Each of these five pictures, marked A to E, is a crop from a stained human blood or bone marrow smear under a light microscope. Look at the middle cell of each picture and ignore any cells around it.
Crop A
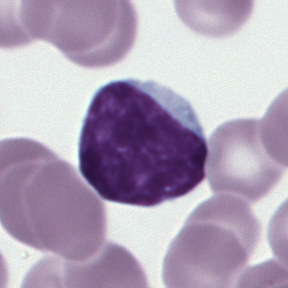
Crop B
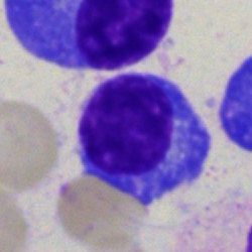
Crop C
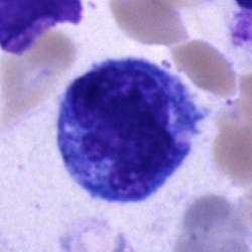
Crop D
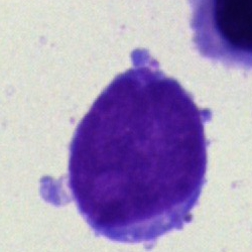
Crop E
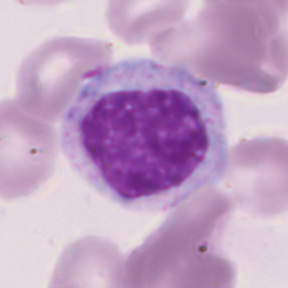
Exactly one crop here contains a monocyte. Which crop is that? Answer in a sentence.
Of the labeled crops, the one with a monocyte is crop C.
